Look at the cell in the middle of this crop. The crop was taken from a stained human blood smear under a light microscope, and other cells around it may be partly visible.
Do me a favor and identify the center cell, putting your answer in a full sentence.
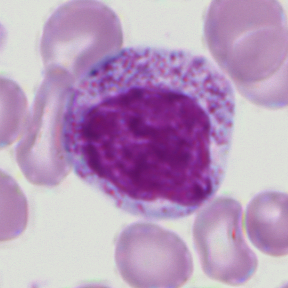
The identification for the central cell is a myelocyte.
